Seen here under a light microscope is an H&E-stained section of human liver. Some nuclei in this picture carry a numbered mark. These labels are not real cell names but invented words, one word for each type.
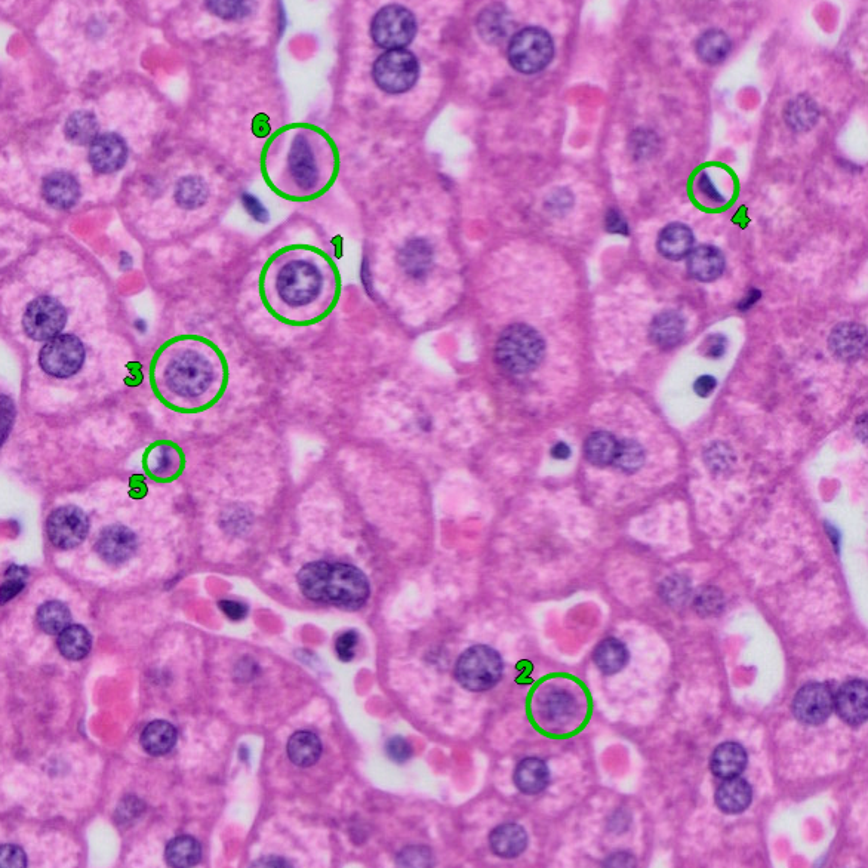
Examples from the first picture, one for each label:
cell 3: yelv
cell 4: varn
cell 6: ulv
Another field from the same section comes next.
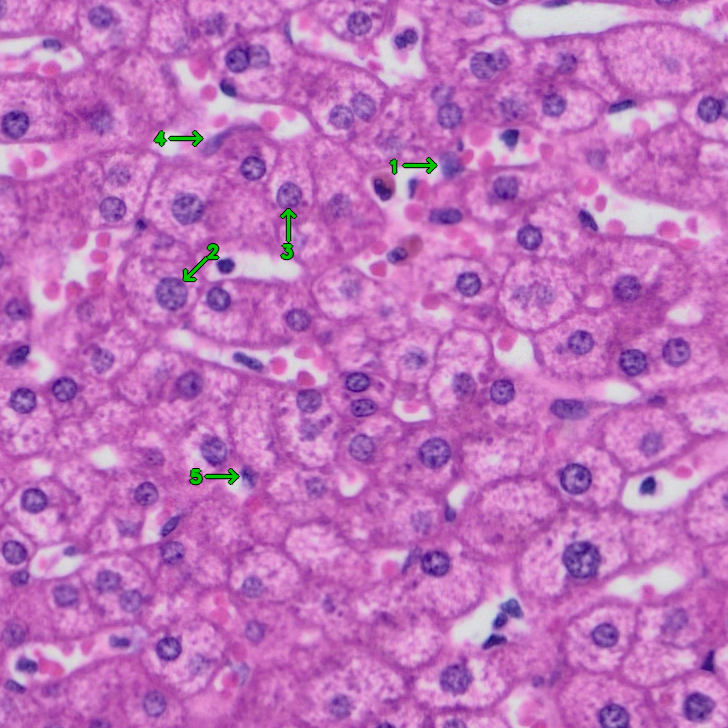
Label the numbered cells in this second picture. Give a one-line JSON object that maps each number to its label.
{"1": "varn", "2": "yelv", "3": "yelv", "4": "ulv", "5": "varn"}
